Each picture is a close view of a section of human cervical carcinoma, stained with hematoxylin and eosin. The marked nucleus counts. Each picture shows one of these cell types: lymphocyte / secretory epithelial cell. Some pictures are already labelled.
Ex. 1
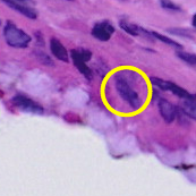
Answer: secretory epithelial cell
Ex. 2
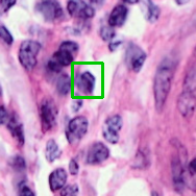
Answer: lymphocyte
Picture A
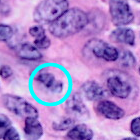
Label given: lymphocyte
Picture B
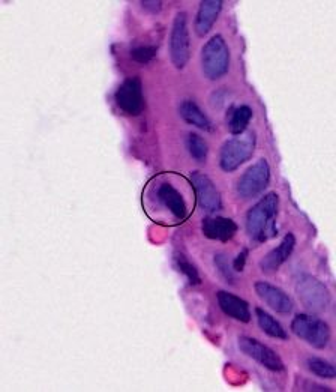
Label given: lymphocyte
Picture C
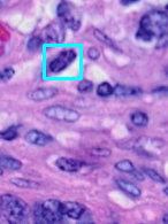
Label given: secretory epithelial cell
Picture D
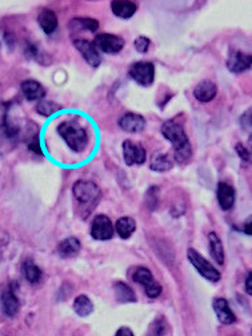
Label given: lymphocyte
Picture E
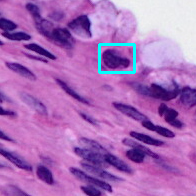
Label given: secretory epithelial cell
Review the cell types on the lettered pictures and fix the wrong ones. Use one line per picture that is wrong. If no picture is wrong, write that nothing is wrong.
B: change lymphocyte to secretory epithelial cell
C: change secretory epithelial cell to lymphocyte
